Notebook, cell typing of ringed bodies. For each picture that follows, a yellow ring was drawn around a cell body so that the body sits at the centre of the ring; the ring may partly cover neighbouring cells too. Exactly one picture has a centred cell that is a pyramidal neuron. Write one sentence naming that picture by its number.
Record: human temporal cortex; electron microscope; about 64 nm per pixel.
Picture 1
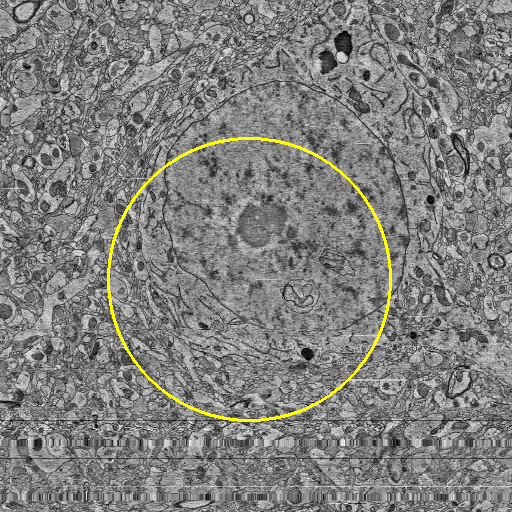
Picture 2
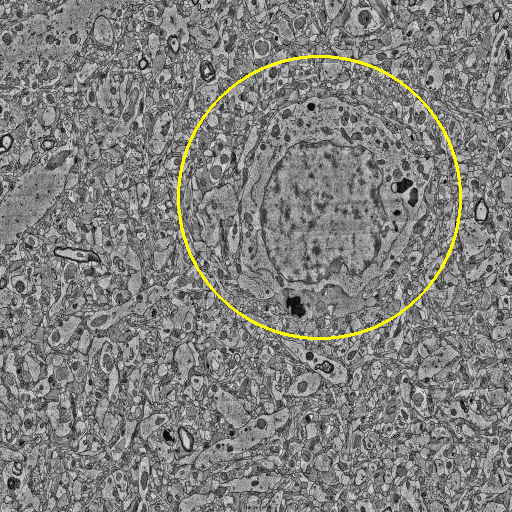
Picture 1 is the one with it at the centre of its ring.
